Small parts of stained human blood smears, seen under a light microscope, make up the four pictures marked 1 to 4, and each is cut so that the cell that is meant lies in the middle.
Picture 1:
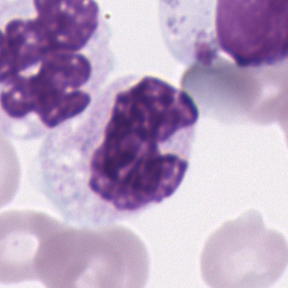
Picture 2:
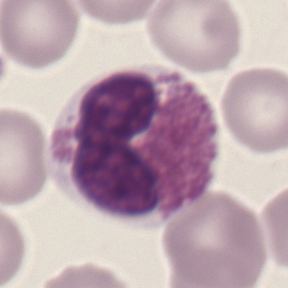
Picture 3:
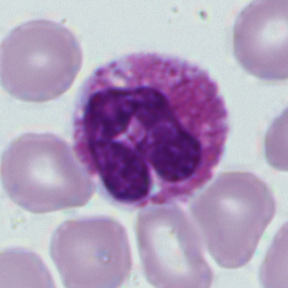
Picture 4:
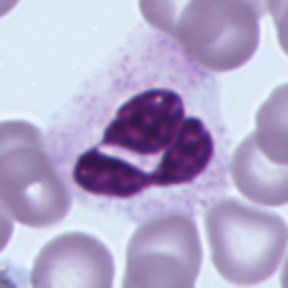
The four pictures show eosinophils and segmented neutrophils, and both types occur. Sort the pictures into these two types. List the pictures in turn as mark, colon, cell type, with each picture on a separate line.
1: segmented neutrophil
2: eosinophil
3: eosinophil
4: segmented neutrophil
